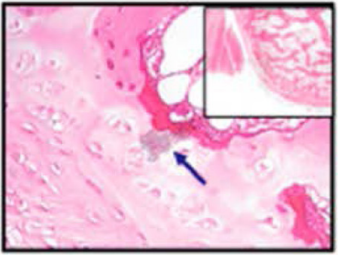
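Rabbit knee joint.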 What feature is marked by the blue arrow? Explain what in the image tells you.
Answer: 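A small greyish unstained deposit lies at the arrow tip within pink tissue.
Conclusion: crystal aggregates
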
